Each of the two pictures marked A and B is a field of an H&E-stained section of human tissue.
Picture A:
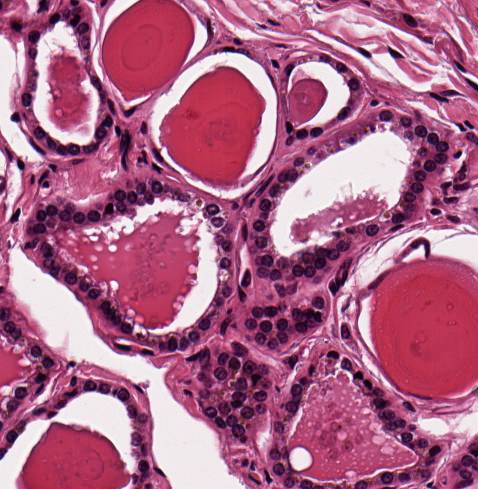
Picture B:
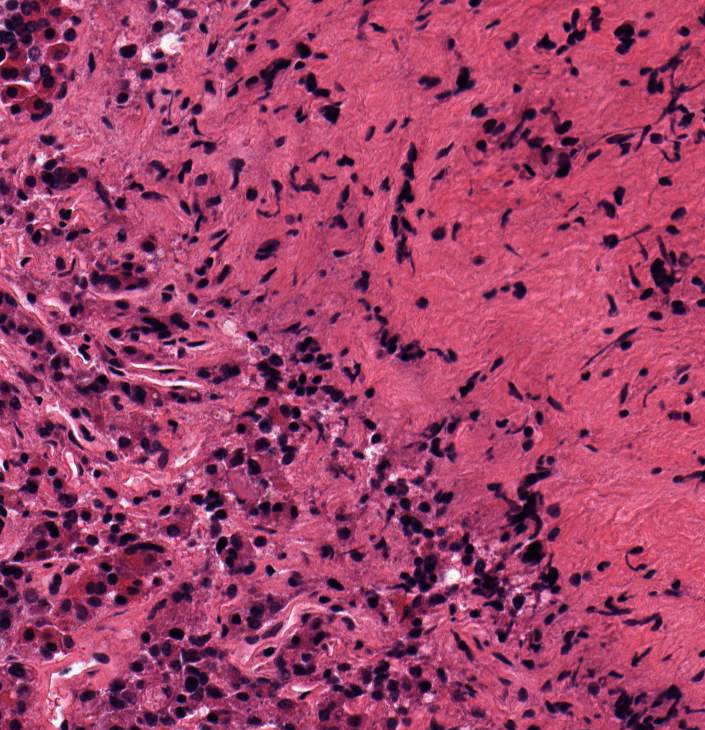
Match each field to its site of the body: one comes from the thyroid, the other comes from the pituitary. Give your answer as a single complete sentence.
Picture A comes from the thyroid; picture B comes from the pituitary.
